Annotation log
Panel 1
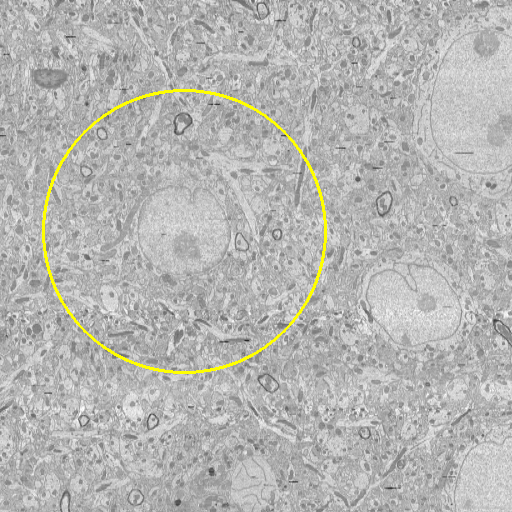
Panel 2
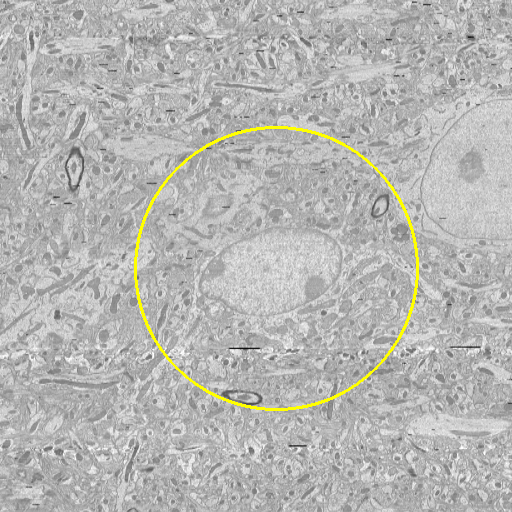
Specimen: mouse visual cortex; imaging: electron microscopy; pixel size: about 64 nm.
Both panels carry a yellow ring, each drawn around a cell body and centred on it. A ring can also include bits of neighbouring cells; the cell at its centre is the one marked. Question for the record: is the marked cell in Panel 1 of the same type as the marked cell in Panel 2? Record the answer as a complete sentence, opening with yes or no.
Yes, the marked cells in Panel 1 and Panel 2 are of the same type.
